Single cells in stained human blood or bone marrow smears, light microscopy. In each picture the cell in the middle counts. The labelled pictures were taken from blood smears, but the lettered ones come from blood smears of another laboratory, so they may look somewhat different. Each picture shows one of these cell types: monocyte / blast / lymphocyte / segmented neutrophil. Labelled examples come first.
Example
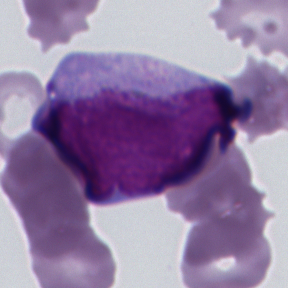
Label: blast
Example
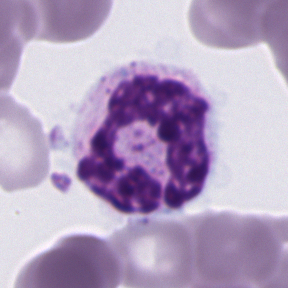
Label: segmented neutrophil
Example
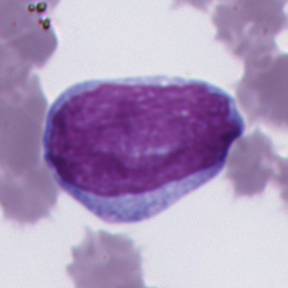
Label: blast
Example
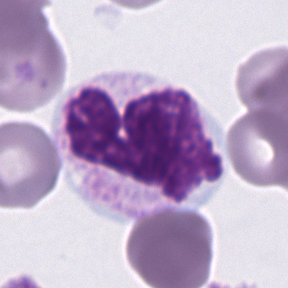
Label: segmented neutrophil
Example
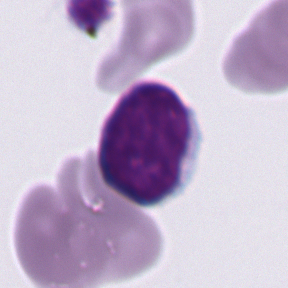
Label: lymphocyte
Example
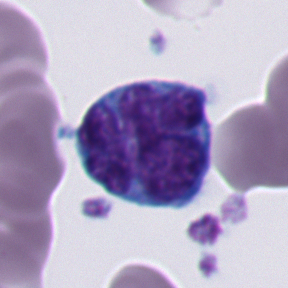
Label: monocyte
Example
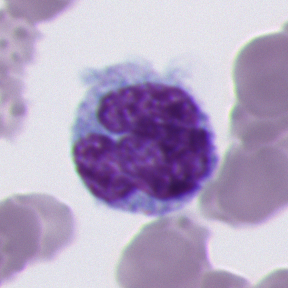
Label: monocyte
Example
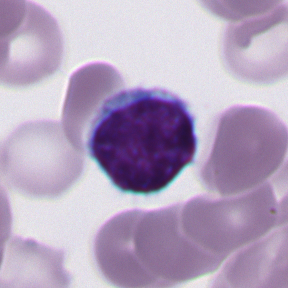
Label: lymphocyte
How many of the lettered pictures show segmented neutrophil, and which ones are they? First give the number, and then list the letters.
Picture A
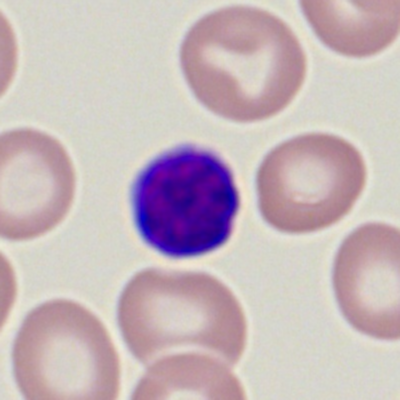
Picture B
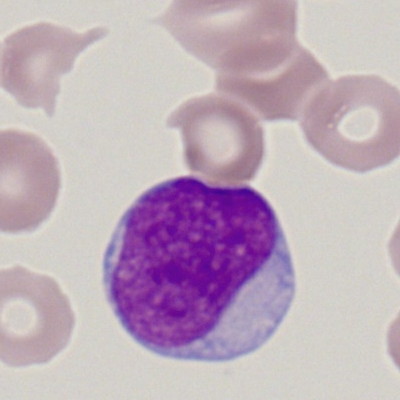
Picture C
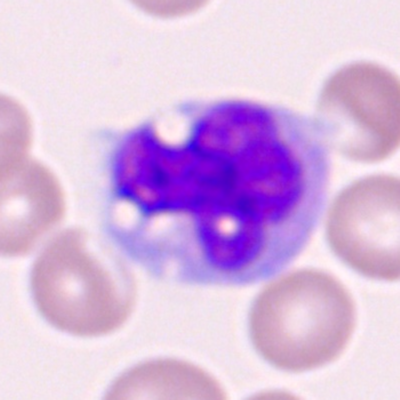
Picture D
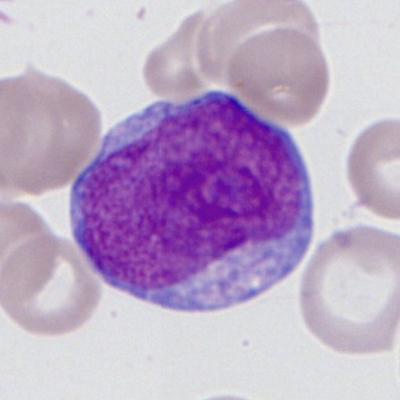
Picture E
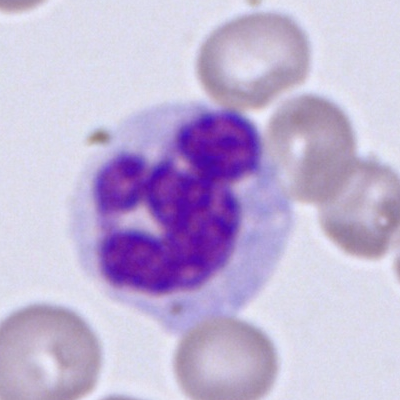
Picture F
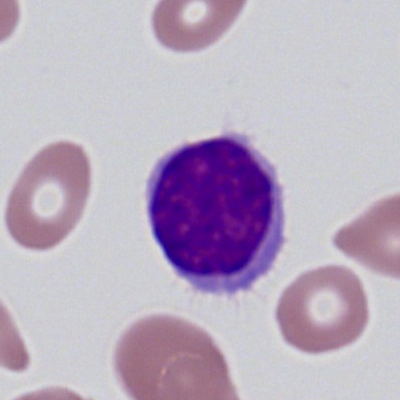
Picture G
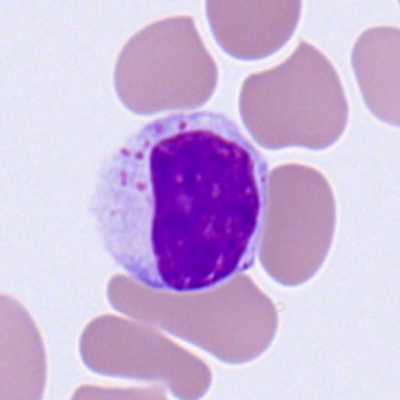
0, none of them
